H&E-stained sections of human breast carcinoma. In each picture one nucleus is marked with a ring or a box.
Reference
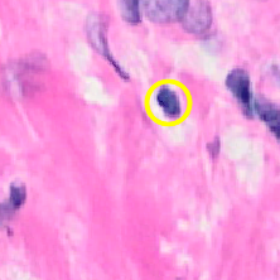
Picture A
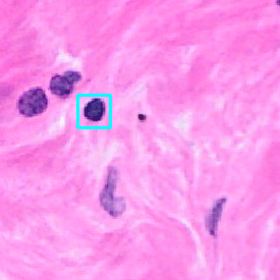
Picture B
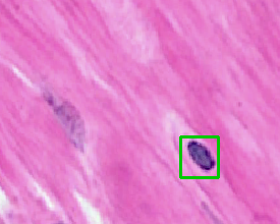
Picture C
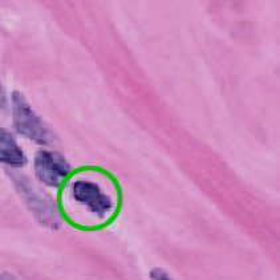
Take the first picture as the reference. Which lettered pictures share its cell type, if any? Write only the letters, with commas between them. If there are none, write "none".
A, B, C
